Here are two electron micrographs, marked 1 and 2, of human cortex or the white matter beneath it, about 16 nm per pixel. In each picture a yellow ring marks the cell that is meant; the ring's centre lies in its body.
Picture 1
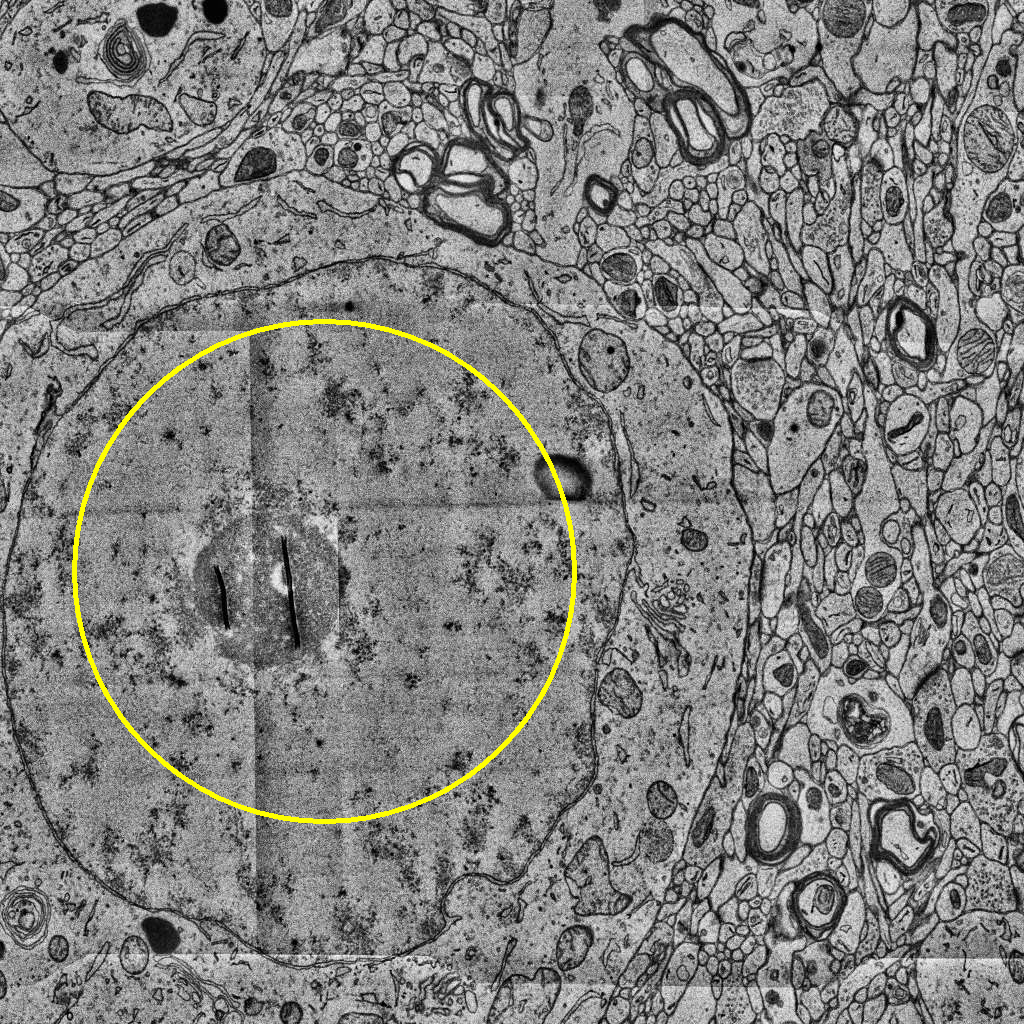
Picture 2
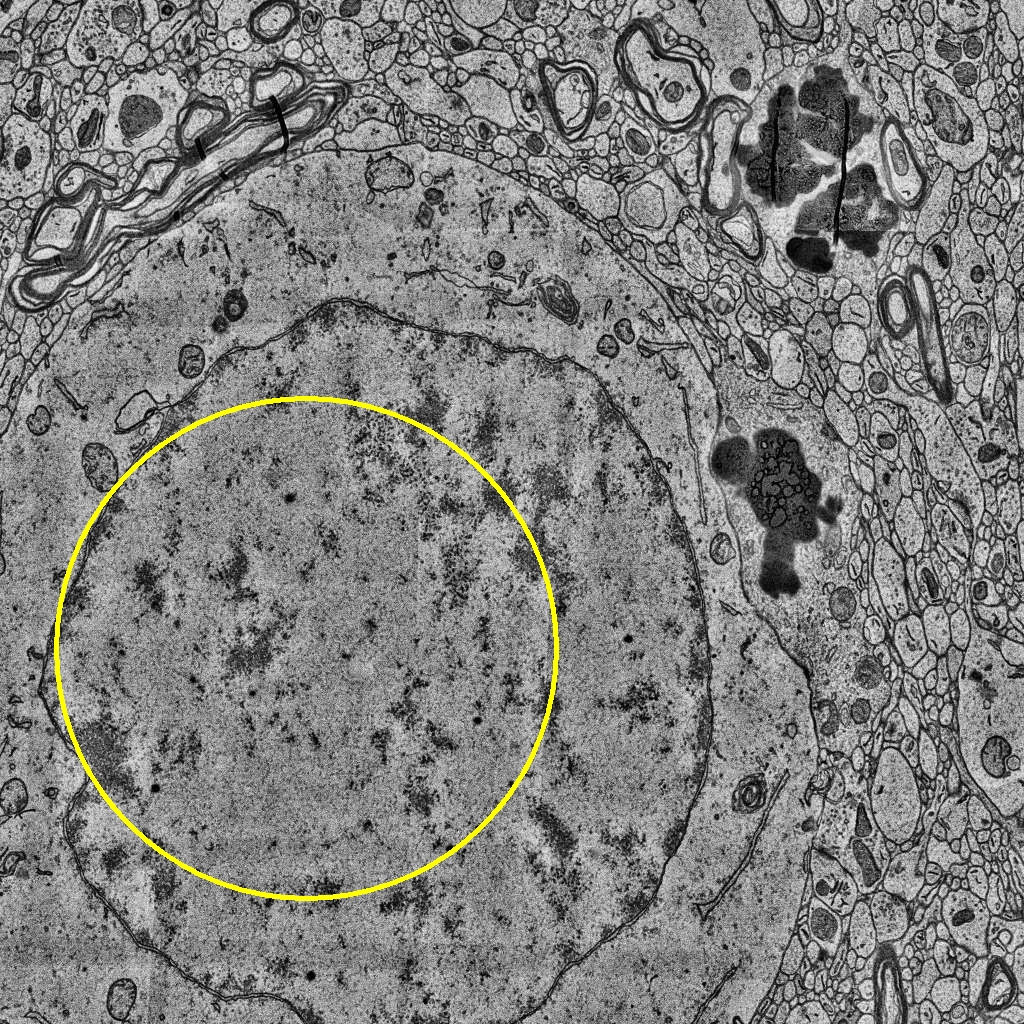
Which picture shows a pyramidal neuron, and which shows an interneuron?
It is picture 1 that shows a pyramidal neuron, and picture 2 that shows an interneuron.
